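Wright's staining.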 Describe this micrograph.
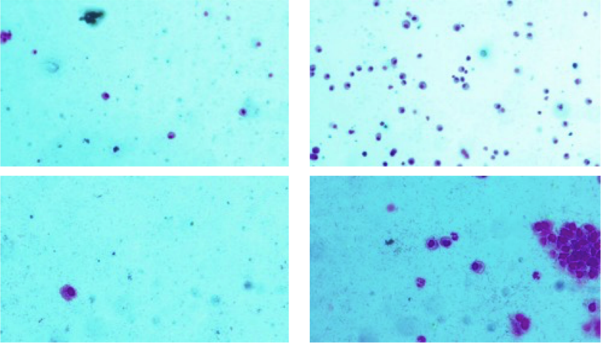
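The cells are small and round, with dark purple nuclei and little visible cytoplasm at the lower magnification. In the left-hand images only a few scattered cells are present. In the right-hand images the cells are much more numerous, spread across the field, and at higher magnification some lie in a dense clump of purple-staining cells.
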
